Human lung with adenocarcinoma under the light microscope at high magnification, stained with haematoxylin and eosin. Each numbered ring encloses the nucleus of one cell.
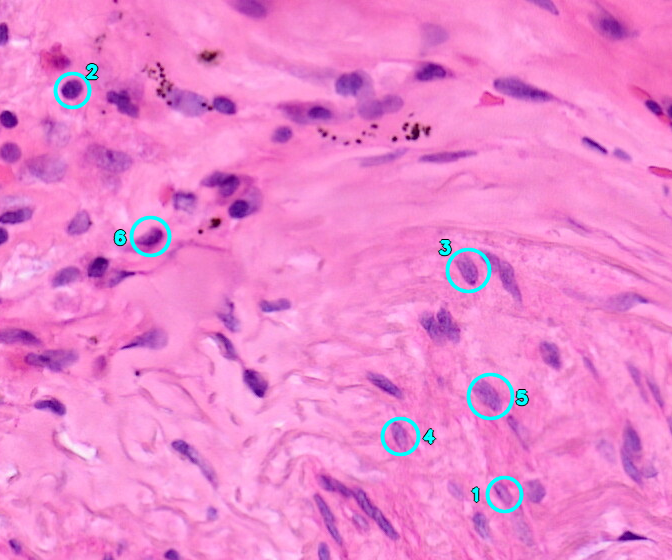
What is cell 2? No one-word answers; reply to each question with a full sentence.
The correct answer for cell 2 is a lymphocyte.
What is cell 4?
The numeral 4 marks a smooth muscle cell or pericyte in this section.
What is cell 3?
The nucleus labelled 3 belongs to a smooth muscle cell or pericyte.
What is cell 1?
In the marked set, the cell given number 1 is a smooth muscle cell or pericyte.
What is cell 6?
The mark numbered 6 indicates the nucleus of a plasma cell.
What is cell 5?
At number 5, the marked cell is a smooth muscle cell or pericyte.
